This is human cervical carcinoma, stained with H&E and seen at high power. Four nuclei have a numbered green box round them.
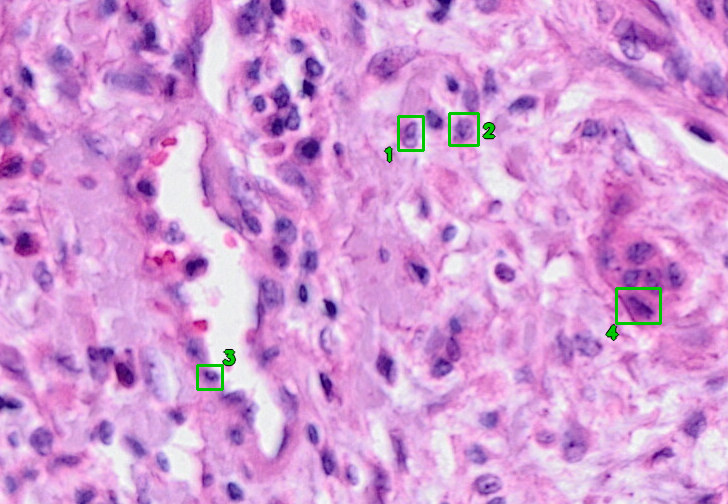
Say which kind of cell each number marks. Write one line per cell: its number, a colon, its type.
1: macrophage or monocyte
2: macrophage or monocyte
3: endothelial cell
4: squamous carcinoma cell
